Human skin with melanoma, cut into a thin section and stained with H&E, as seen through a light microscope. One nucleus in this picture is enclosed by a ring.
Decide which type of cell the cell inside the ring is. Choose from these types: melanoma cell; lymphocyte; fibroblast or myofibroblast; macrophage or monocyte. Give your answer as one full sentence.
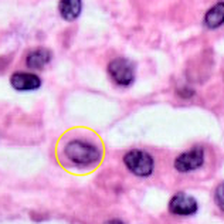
Right, so the cell inside the ring is a macrophage or monocyte, to answer that.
